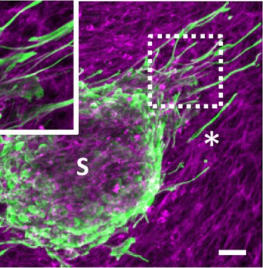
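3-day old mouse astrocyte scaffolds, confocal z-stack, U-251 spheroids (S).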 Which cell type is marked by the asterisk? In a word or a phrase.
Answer: detached single cell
